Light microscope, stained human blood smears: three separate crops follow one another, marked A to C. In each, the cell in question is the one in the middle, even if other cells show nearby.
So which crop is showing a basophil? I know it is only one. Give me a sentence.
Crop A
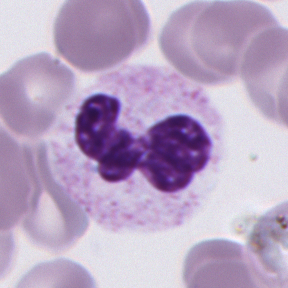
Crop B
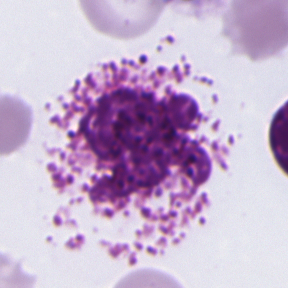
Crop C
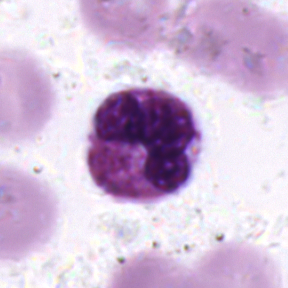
Crop B represents a basophil, while the other crops do not.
